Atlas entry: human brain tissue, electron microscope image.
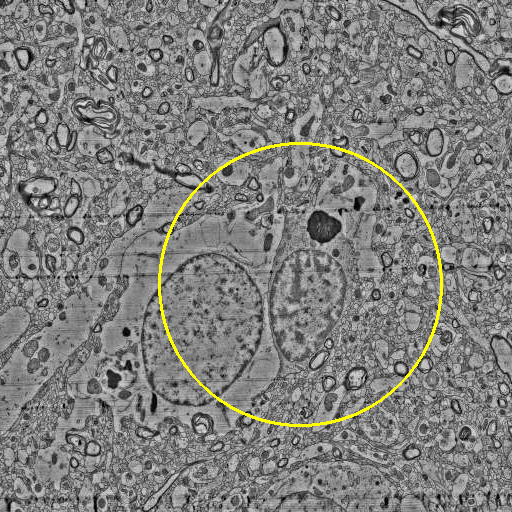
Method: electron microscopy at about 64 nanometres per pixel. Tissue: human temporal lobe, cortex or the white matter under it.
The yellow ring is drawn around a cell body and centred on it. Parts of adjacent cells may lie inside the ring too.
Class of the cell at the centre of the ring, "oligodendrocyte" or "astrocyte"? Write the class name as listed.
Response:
oligodendrocyte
